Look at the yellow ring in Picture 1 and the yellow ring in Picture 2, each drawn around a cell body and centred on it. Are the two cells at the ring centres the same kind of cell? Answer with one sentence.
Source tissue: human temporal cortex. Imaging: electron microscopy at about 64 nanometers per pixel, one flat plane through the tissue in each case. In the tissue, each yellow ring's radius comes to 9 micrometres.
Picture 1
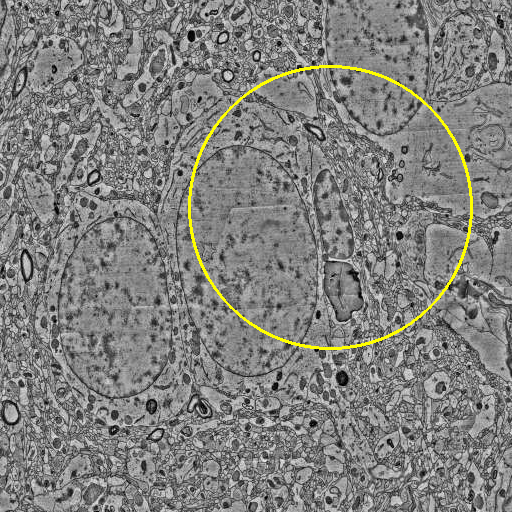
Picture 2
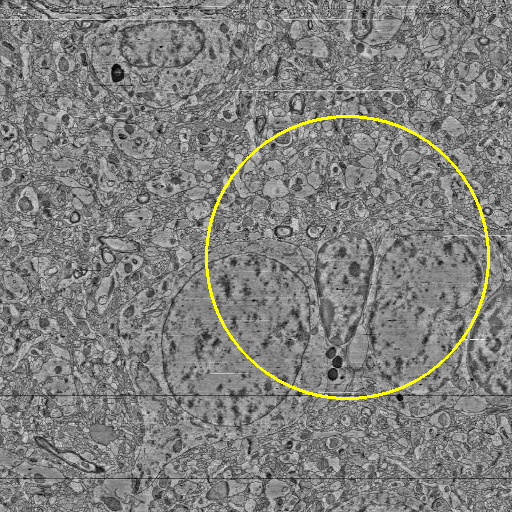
Yes, both are the same kind of cell.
